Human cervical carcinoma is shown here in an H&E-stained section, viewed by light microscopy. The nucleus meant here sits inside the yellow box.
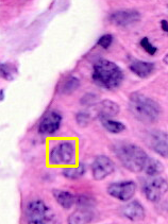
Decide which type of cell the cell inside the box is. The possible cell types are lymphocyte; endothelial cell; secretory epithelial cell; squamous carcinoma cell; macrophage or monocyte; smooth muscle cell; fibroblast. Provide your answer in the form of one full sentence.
With respect to cell type, the cell inside the box is a squamous carcinoma cell.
